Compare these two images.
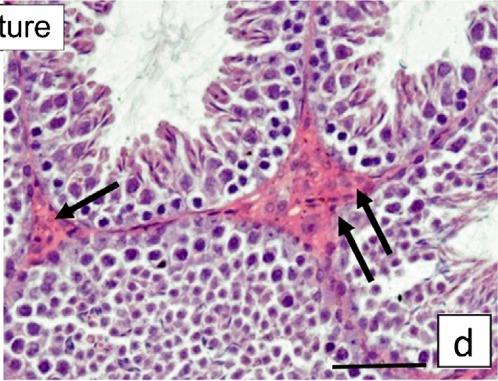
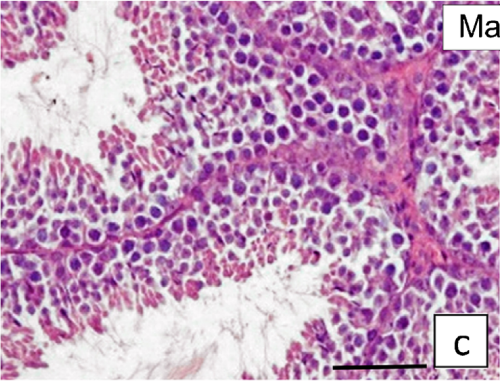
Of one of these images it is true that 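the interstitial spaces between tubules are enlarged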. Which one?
The first image.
